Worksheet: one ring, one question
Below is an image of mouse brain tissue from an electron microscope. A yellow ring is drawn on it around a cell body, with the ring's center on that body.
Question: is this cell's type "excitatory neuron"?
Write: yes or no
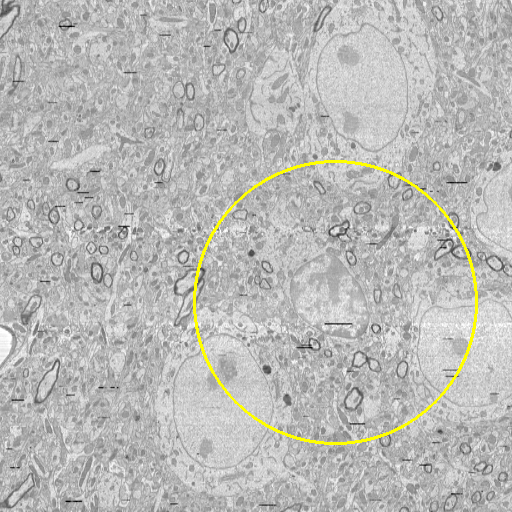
no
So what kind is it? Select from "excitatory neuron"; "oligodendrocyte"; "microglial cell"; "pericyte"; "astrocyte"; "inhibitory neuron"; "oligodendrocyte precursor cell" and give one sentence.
It is an oligodendrocyte that the ring is centred on.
